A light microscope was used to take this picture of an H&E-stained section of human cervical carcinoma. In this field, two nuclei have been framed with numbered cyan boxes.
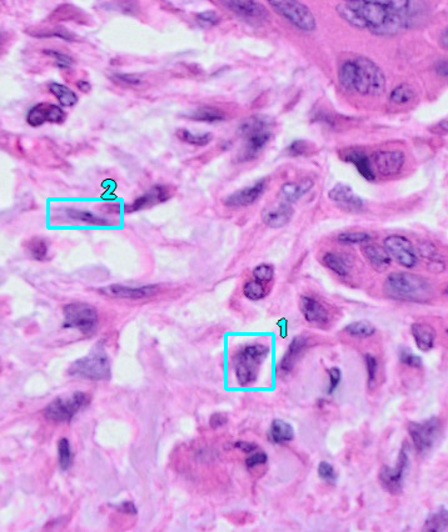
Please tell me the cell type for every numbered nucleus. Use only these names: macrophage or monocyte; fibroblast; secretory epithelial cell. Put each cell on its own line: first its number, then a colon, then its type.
1: macrophage or monocyte
2: fibroblast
